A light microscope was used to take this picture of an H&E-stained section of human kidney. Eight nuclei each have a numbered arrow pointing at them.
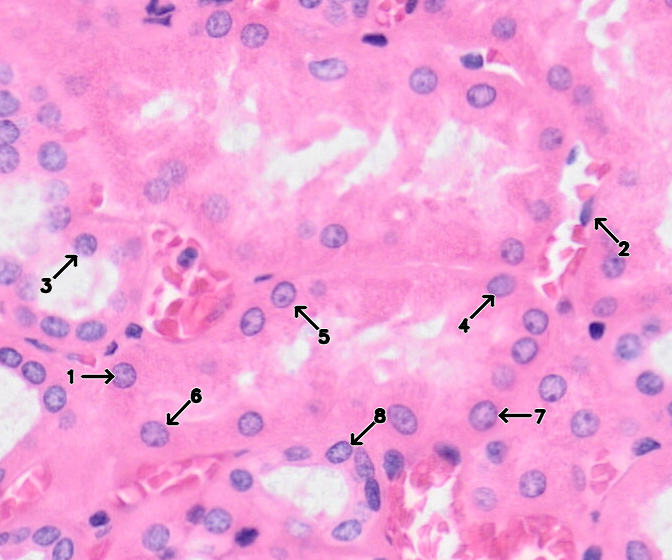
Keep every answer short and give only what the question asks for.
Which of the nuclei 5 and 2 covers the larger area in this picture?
5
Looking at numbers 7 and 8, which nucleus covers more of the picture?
7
